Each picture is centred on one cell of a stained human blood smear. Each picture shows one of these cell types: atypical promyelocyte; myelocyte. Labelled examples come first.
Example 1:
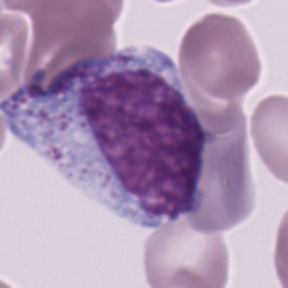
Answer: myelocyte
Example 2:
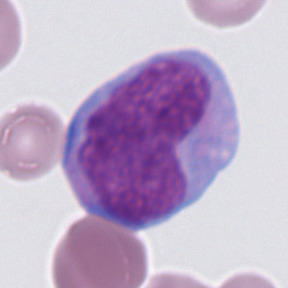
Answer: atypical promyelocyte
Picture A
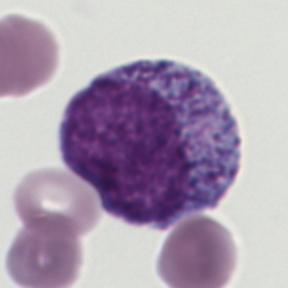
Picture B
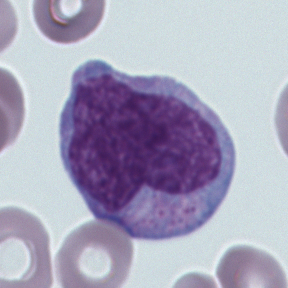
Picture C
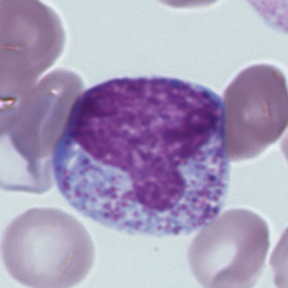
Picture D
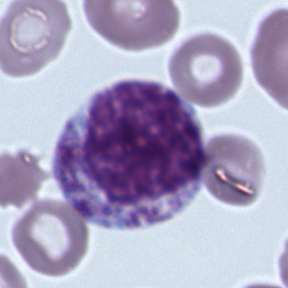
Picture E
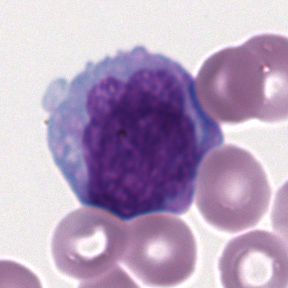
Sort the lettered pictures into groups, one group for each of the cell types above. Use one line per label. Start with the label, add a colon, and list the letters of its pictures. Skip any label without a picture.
atypical promyelocyte: B, E
myelocyte: A, C, D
